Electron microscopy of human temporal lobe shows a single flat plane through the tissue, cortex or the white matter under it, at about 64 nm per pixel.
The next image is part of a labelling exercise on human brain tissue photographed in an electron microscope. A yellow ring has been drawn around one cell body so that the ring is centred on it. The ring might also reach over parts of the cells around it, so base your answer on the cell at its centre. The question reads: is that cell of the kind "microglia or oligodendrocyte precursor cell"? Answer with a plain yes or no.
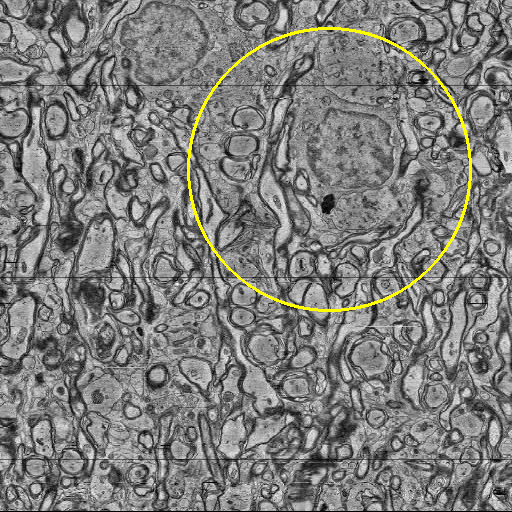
no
